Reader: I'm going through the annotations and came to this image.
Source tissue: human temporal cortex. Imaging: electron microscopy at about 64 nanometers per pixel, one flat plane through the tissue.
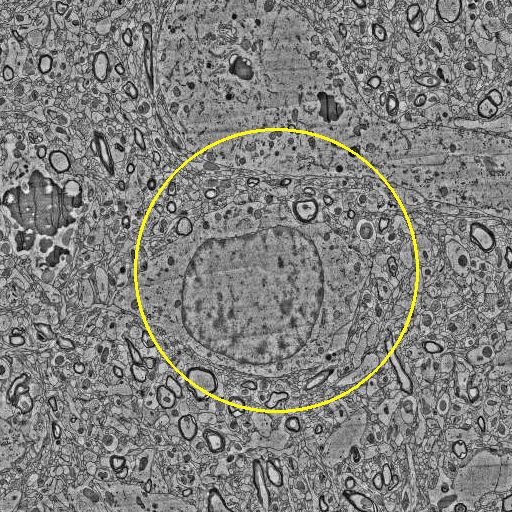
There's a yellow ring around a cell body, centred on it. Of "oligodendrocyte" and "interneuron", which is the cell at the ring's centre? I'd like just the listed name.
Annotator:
interneuron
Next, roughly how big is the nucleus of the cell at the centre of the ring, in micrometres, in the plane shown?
In this plane, roughly 9 micrometres across.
